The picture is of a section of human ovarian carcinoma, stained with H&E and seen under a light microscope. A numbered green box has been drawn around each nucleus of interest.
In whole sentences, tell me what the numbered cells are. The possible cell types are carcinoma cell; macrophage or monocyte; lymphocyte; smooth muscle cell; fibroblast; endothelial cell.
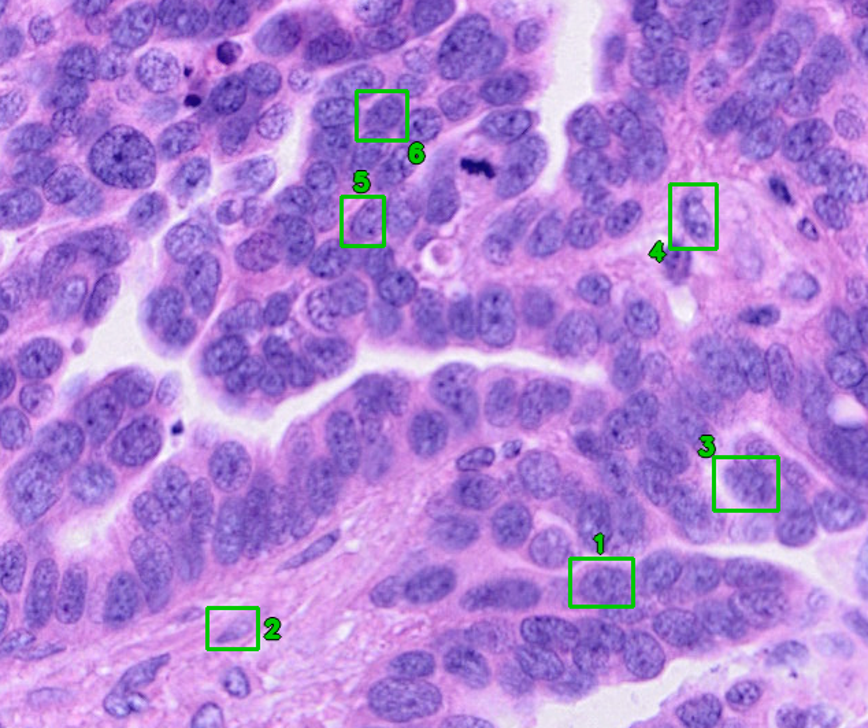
Cell 1 is a carcinoma cell, cell 2 is a fibroblast, cell 3 is a carcinoma cell, cell 4 is a fibroblast, cell 5 is a carcinoma cell and cell 6 is a carcinoma cell.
